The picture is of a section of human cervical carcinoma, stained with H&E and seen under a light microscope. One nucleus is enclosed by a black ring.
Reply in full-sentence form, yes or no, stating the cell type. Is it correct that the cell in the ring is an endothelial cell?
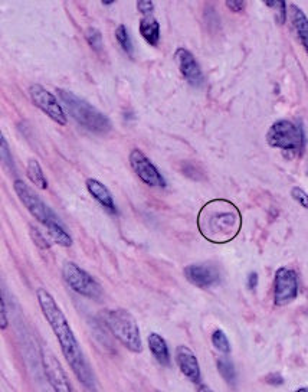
No, in this section the cell in the ring is a smooth muscle cell and not an endothelial cell.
